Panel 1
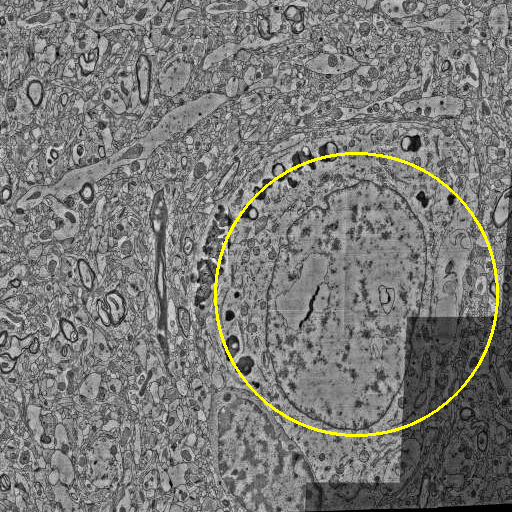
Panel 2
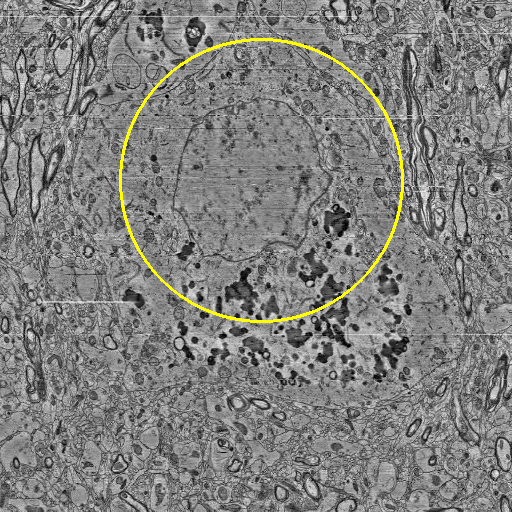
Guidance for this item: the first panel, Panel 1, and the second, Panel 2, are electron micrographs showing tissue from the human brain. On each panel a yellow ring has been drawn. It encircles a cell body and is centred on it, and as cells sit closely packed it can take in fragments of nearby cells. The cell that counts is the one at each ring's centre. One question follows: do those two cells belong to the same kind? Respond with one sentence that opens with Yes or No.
Yes, the cells at the ring centres in Panel 1 and Panel 2 are of one kind.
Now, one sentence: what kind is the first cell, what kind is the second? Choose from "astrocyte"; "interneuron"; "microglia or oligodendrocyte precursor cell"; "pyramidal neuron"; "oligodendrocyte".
Each of the two rings surrounds a pyramidal neuron.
